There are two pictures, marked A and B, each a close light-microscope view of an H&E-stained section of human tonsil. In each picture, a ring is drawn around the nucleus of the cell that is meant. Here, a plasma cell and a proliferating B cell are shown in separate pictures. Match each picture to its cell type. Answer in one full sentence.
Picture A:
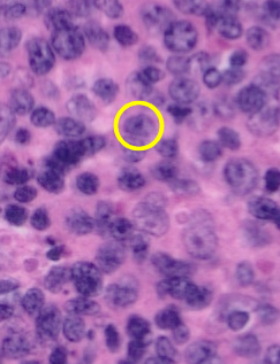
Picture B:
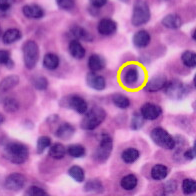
Picture B shows a plasma cell, while picture A shows a proliferating B cell.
